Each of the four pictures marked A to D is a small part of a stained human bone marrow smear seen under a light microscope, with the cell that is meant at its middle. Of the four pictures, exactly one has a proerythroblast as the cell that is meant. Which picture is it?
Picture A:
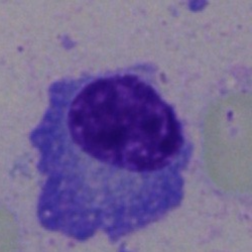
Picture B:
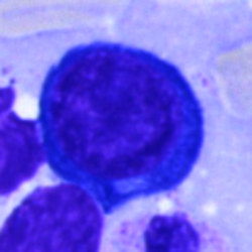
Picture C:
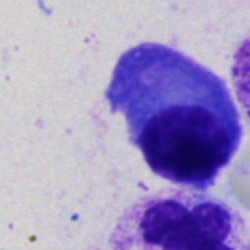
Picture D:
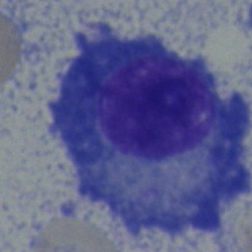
B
